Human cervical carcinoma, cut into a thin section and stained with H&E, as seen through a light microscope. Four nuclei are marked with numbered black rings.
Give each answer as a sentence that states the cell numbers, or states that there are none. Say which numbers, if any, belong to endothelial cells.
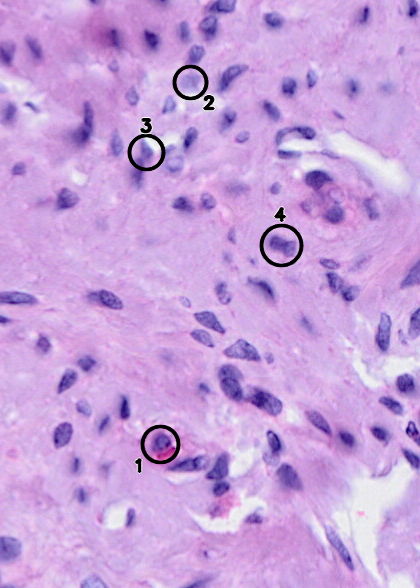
Among the numbered cells, cell 1 alone is an endothelial cell.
